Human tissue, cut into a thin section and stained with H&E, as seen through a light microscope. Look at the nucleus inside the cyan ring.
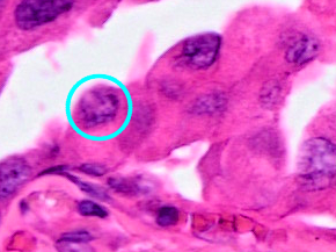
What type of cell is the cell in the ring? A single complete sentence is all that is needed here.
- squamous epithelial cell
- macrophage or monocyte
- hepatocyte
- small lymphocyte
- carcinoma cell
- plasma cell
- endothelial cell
Students should answer that the cell in the ring is a carcinoma cell.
